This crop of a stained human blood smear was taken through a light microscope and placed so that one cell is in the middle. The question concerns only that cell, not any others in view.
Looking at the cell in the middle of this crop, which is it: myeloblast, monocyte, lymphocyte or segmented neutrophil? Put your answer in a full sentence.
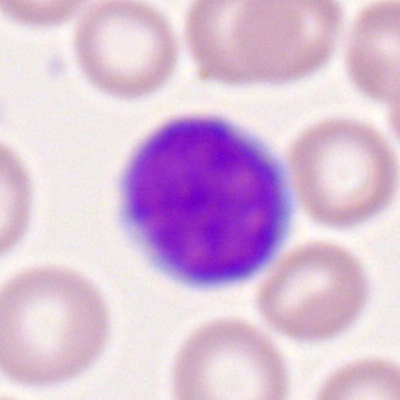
Classified as a lymphocyte is the cell in the middle of this crop.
